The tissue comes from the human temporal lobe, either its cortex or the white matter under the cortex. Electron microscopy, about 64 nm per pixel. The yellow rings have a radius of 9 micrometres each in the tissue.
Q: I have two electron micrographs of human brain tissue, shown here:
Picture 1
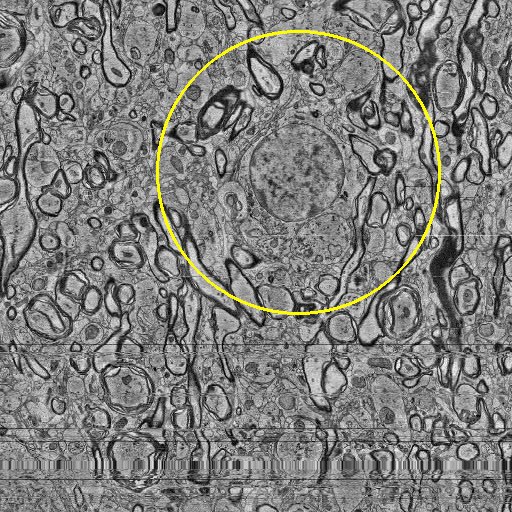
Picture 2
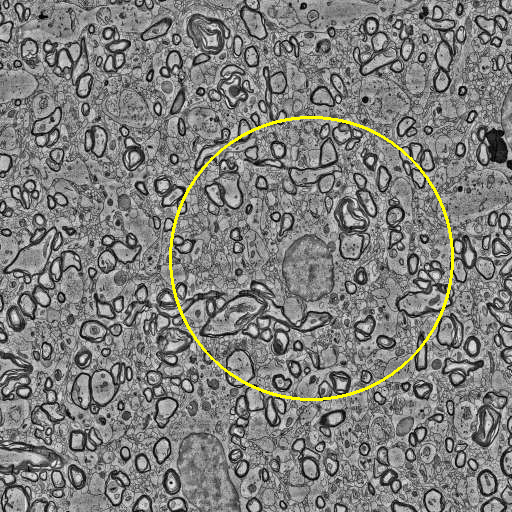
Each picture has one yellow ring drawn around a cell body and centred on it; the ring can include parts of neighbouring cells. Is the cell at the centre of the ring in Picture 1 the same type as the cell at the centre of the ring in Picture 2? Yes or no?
no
